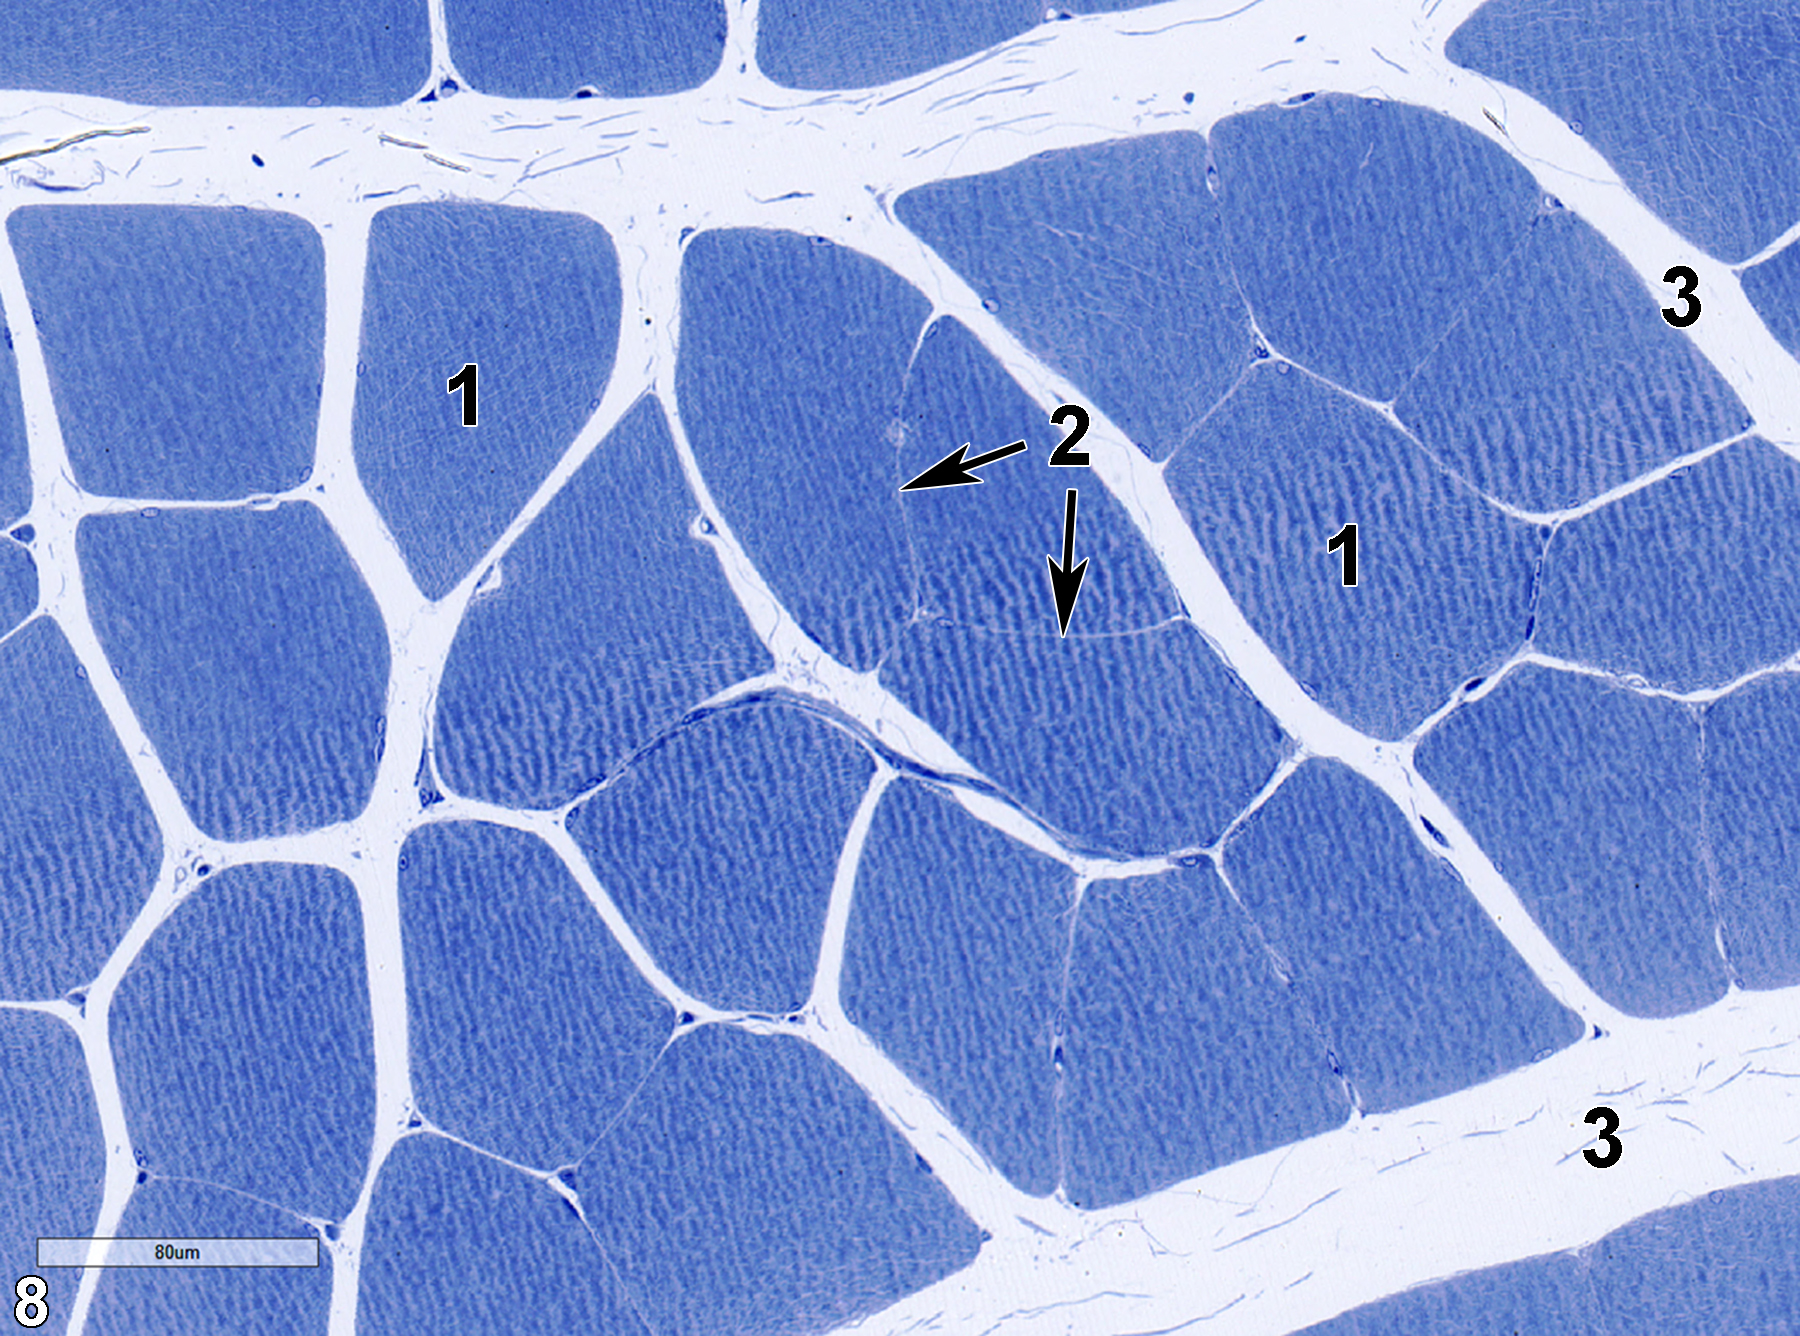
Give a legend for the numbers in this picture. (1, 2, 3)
(1) myocytes
(2) endomysium
(3) perimysium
